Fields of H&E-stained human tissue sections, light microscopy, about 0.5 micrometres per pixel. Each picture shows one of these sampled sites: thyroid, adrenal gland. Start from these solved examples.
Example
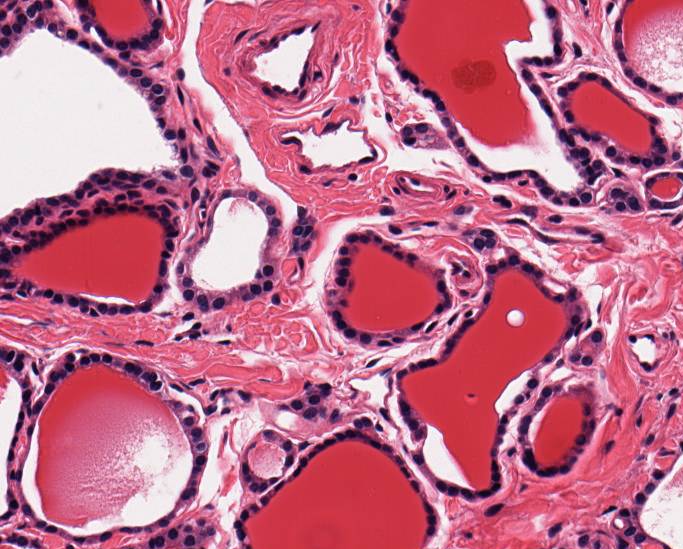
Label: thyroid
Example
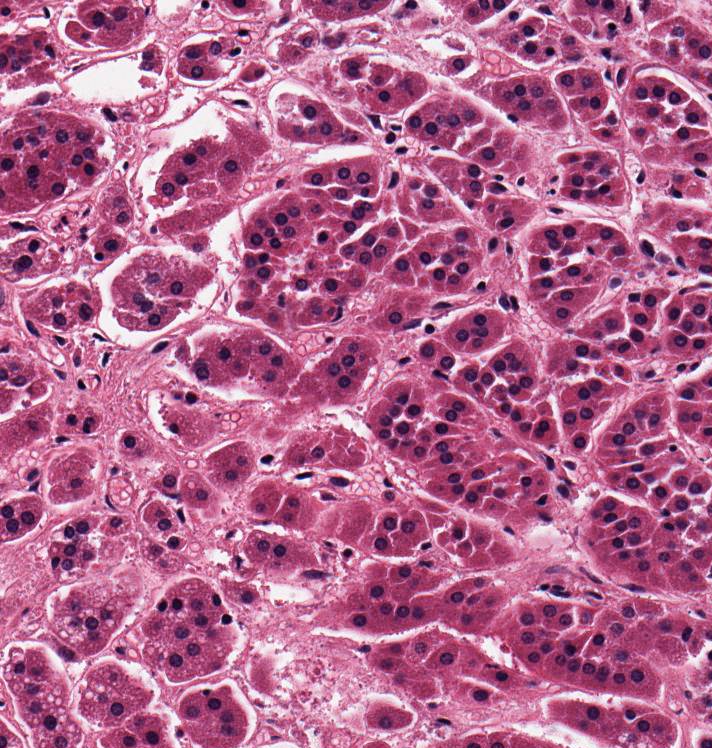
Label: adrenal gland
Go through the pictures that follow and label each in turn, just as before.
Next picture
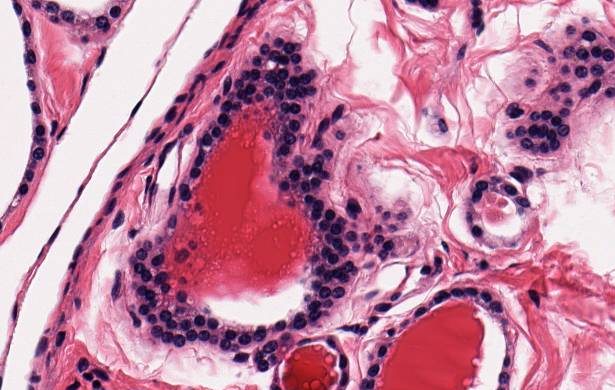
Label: thyroid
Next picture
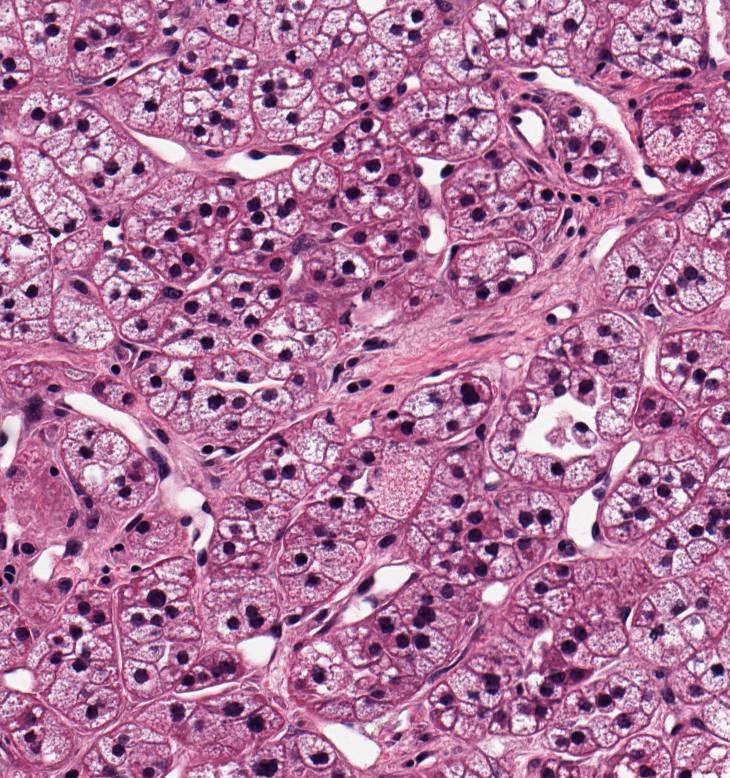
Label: adrenal gland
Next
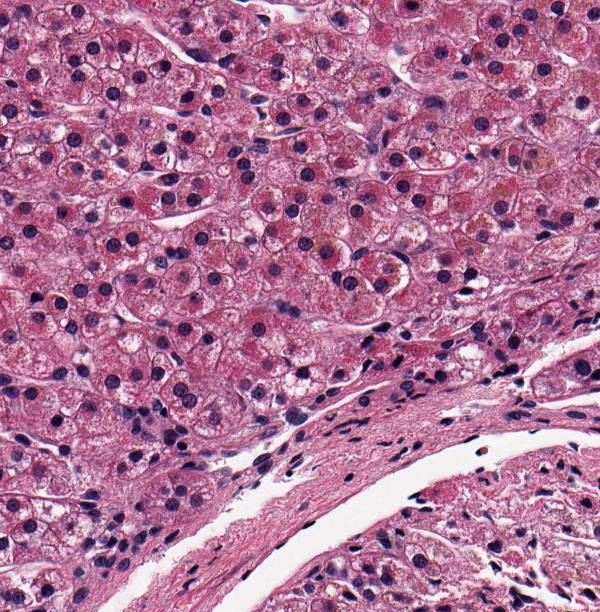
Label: adrenal gland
